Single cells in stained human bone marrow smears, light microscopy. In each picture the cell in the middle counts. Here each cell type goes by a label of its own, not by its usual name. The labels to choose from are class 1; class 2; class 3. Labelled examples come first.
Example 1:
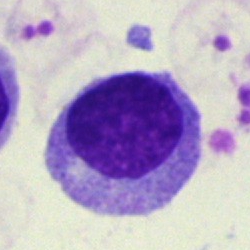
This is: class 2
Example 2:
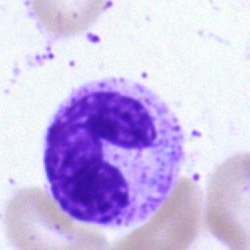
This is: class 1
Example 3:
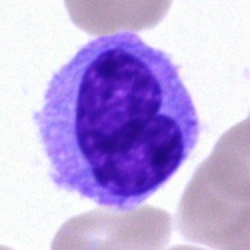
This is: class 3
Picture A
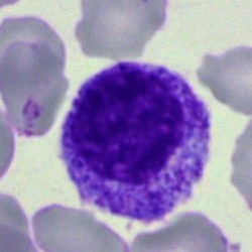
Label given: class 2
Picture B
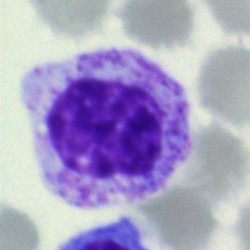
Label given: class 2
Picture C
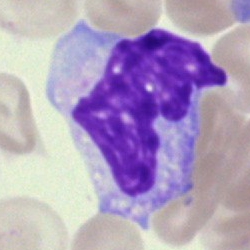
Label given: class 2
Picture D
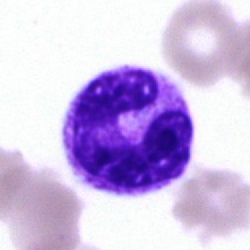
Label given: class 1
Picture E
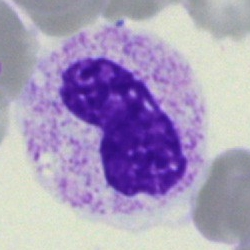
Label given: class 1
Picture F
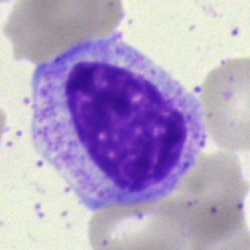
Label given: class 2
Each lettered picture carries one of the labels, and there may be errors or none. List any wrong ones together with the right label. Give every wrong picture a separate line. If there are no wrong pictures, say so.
C: class 3, not class 2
